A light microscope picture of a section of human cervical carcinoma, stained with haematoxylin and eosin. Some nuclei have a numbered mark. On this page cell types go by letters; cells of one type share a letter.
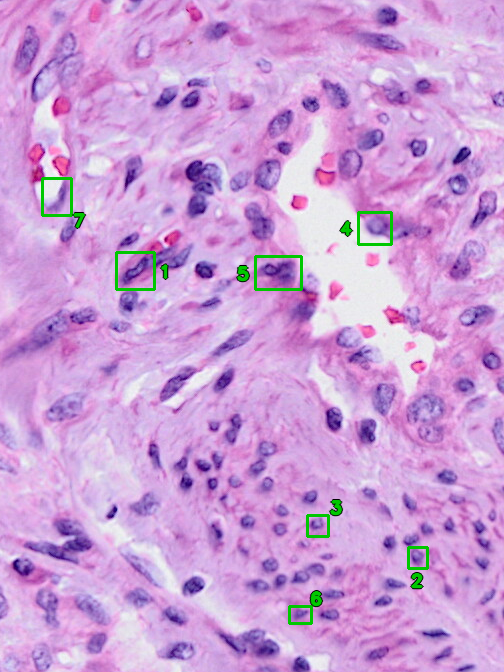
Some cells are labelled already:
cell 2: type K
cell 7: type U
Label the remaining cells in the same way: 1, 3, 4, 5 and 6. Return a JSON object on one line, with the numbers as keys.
{"1": "type U", "3": "type K", "4": "type U", "5": "type U", "6": "type K"}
